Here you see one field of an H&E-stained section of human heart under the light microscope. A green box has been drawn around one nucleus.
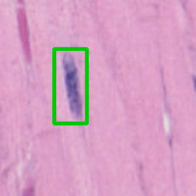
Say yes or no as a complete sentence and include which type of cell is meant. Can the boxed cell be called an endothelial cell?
Yes, regarding cell type, the boxed cell is an endothelial cell.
